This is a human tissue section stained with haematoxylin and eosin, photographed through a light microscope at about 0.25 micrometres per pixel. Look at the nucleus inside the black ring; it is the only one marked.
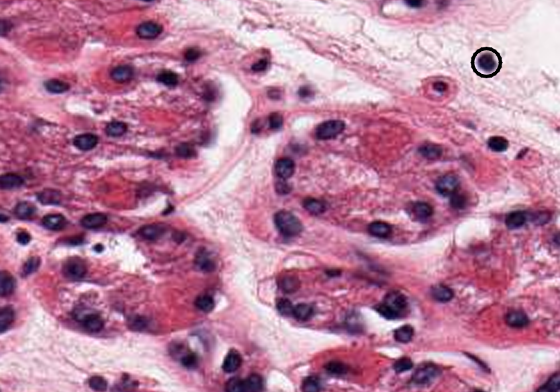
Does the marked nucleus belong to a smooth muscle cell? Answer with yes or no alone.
no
